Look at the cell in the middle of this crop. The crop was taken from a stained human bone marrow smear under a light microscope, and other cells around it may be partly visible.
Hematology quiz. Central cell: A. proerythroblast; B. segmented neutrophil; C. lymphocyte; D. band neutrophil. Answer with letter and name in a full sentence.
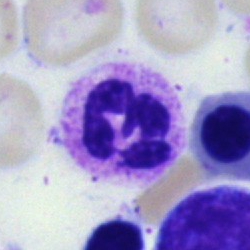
Option B is correct in that the central cell is a segmented neutrophil.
